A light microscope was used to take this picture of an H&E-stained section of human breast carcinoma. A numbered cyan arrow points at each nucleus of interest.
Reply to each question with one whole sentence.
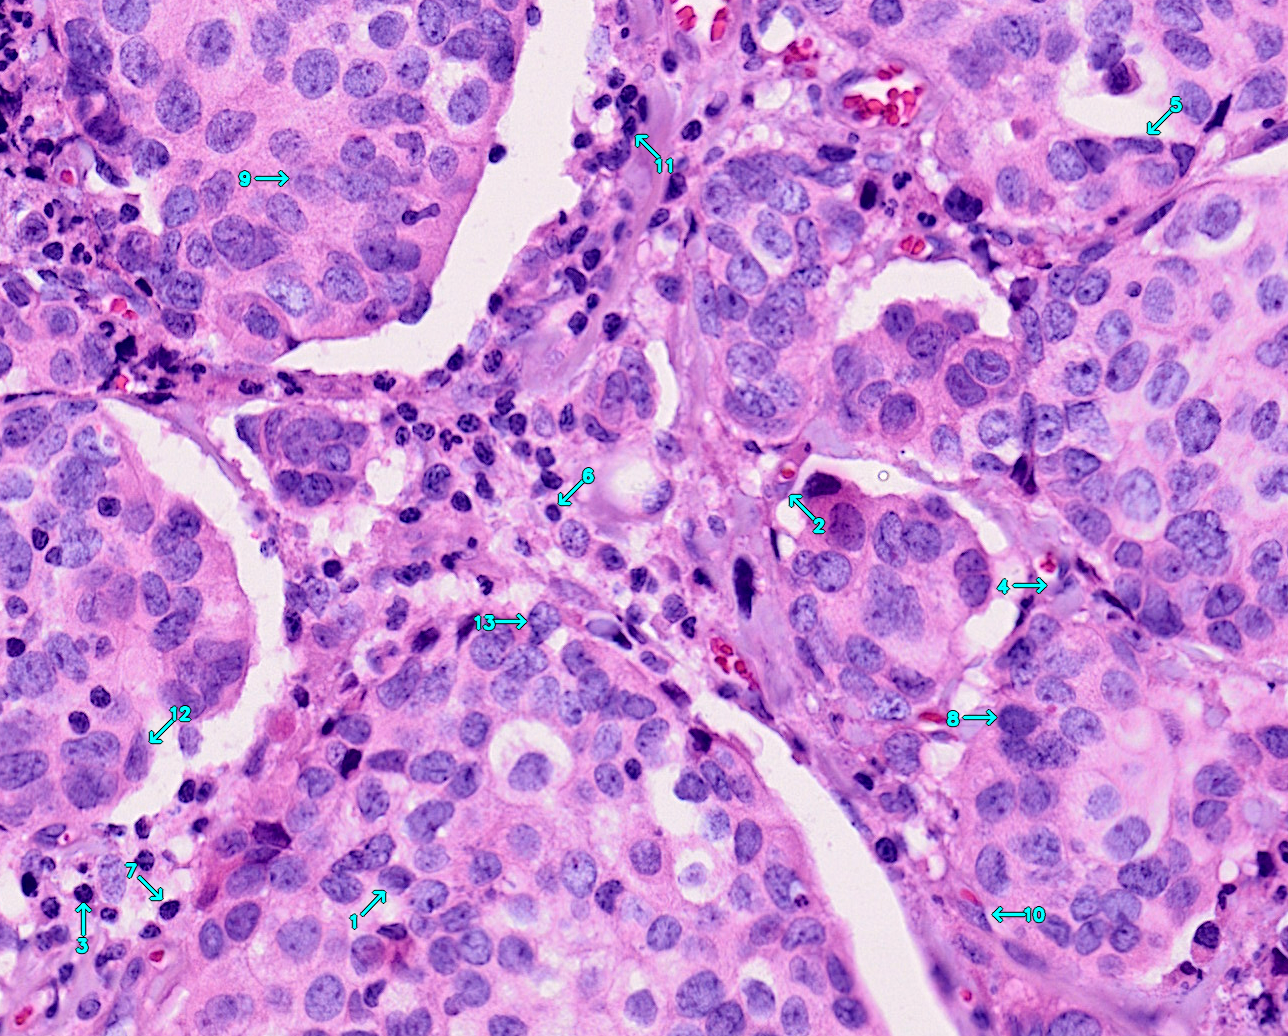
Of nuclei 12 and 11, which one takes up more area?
At about 4 times the area of nucleus 11, nucleus 12 is the larger of the two.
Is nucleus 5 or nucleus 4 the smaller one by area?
The smaller nucleus is 4, and 5 covers roughly 3 times its area.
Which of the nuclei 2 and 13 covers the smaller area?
The smaller nucleus is 2, and 13 covers roughly 4 times its area.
